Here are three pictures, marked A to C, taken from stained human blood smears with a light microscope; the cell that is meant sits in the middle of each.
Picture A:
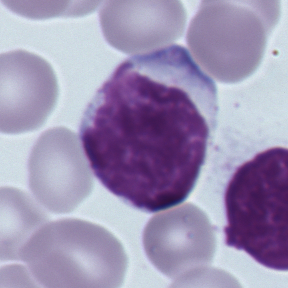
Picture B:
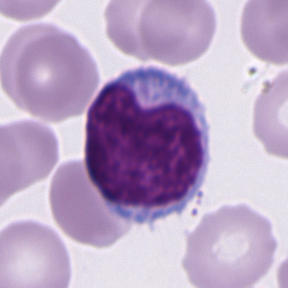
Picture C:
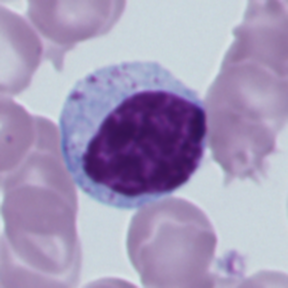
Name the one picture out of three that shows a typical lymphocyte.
B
